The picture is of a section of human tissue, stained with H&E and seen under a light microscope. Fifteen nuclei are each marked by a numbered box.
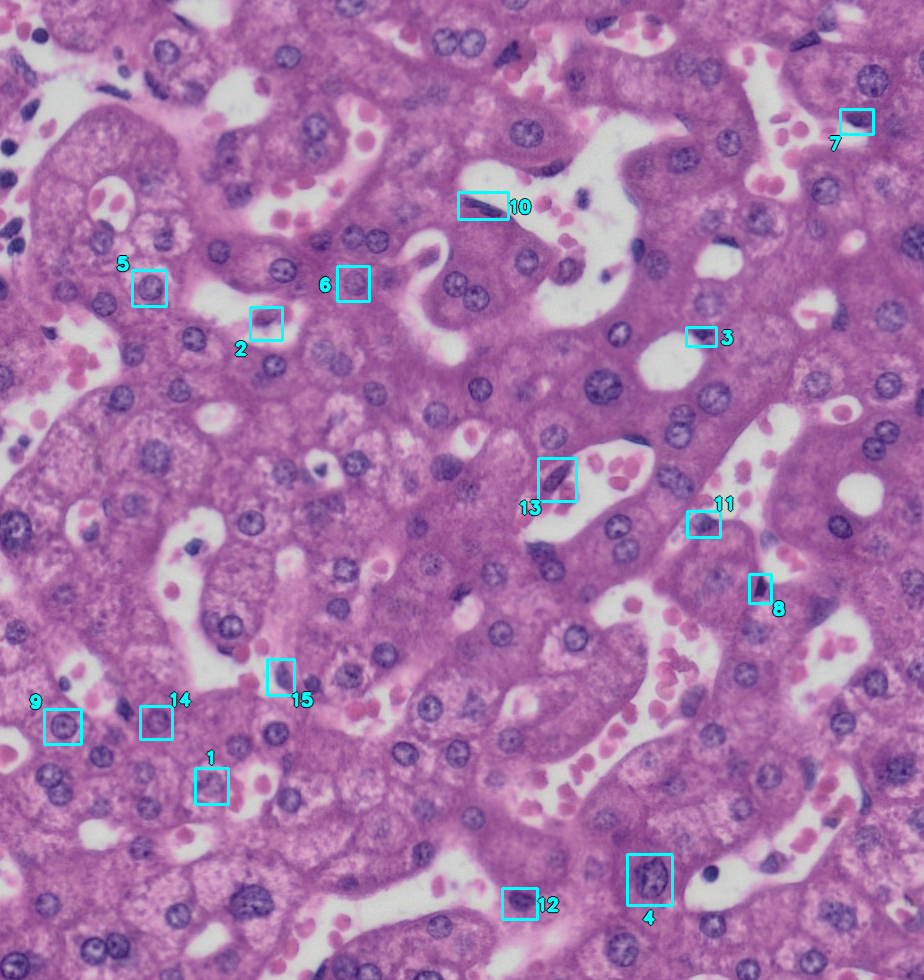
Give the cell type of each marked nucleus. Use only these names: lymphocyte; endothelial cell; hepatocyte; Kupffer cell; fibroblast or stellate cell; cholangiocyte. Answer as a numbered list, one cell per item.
1. hepatocyte
2. Kupffer cell
3. fibroblast or stellate cell
4. hepatocyte
5. hepatocyte
6. hepatocyte
7. endothelial cell
8. fibroblast or stellate cell
9. hepatocyte
10. fibroblast or stellate cell
11. endothelial cell
12. fibroblast or stellate cell
13. Kupffer cell
14. hepatocyte
15. Kupffer cell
